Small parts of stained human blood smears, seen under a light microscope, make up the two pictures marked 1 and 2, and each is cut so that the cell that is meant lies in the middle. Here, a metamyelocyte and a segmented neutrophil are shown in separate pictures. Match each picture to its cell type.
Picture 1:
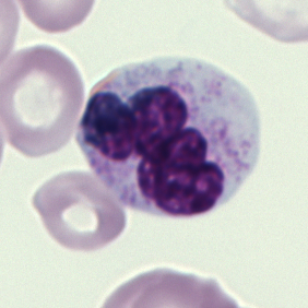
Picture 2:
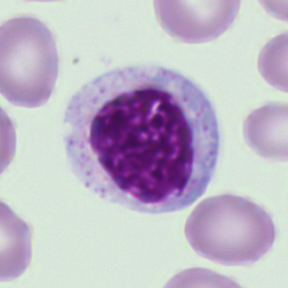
1: segmented neutrophil
2: metamyelocyte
